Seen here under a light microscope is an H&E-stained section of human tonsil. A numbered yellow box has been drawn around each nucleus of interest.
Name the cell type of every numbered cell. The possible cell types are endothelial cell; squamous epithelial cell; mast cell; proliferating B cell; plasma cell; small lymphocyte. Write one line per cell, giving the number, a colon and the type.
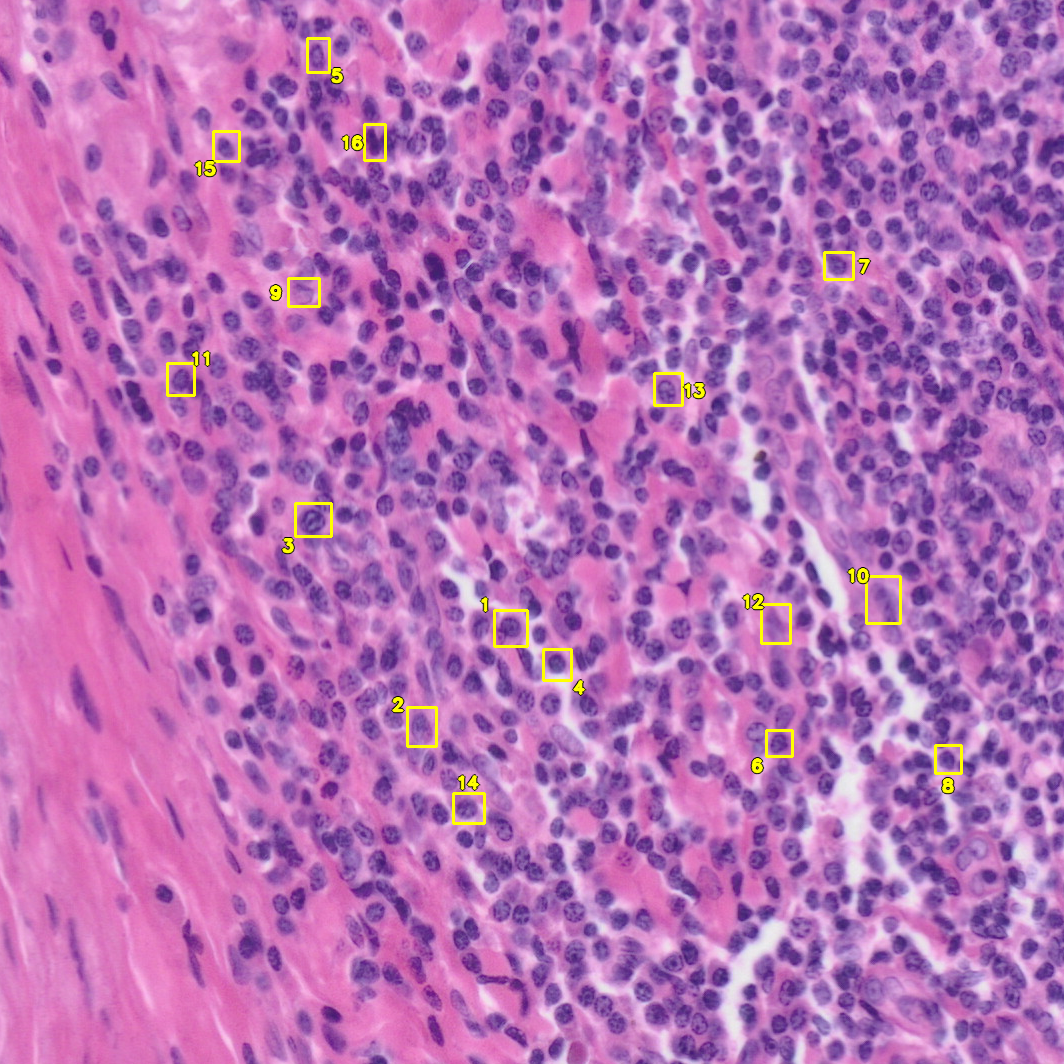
1: plasma cell
2: endothelial cell
3: plasma cell
4: plasma cell
5: plasma cell
6: plasma cell
7: plasma cell
8: small lymphocyte
9: endothelial cell
10: endothelial cell
11: plasma cell
12: endothelial cell
13: plasma cell
14: plasma cell
15: mast cell
16: mast cell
